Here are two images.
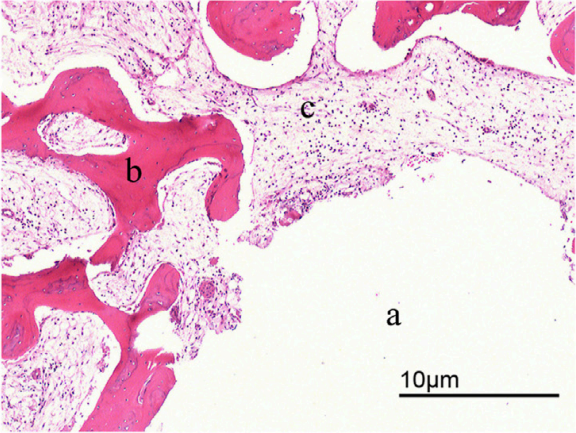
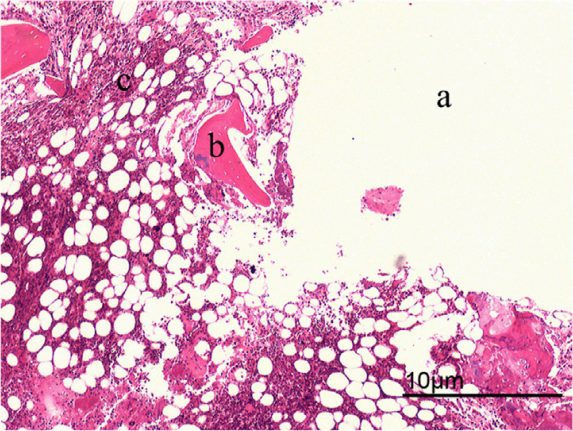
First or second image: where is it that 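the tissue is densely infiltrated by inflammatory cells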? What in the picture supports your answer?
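First image: loose pale fibrous tissue with sparse scattered nuclei between the trabeculae. Second image: crowded sheets of small dark nuclei fill the tissue around the fat vacuoles. That points to this answer: the second image.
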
